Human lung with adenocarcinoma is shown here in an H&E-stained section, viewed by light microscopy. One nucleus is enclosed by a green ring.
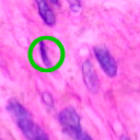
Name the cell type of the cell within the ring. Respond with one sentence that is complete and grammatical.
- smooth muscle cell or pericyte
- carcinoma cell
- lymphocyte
In this preparation, the cell within the ring is a smooth muscle cell or pericyte.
